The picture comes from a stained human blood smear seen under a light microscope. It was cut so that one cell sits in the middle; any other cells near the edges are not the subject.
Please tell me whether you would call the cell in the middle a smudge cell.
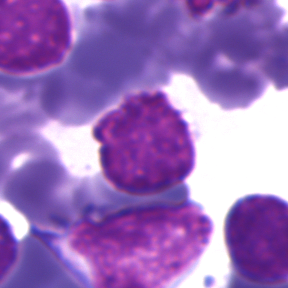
yes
